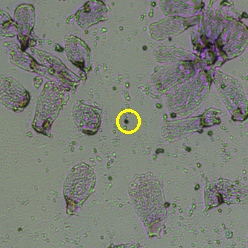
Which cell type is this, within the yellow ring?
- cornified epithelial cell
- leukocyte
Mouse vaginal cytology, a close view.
Within the ring is a leukocyte.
